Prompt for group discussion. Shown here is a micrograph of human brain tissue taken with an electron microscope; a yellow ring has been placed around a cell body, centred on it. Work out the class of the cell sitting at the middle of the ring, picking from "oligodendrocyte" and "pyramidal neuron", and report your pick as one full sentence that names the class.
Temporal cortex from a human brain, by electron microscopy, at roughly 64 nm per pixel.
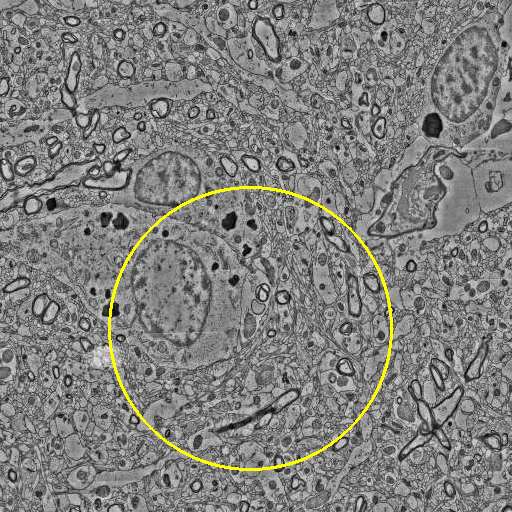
The cell sitting at the middle of the yellow ring is an oligodendrocyte.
